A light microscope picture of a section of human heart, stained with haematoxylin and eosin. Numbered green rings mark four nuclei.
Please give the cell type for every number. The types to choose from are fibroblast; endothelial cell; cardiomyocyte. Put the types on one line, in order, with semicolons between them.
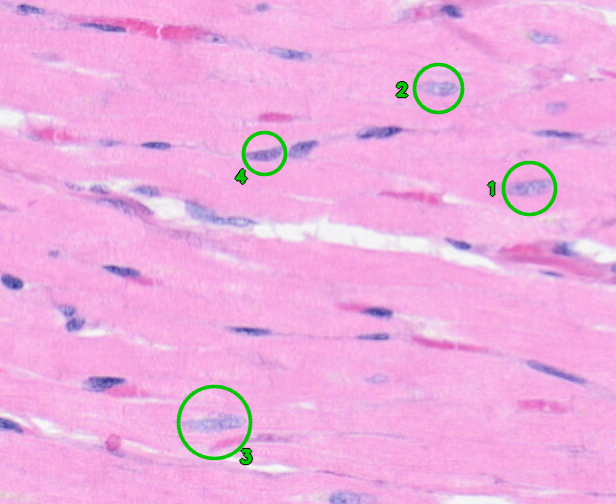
cardiomyocyte; cardiomyocyte; cardiomyocyte; fibroblast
